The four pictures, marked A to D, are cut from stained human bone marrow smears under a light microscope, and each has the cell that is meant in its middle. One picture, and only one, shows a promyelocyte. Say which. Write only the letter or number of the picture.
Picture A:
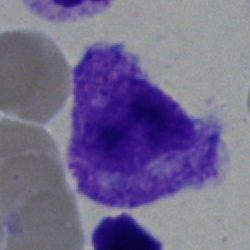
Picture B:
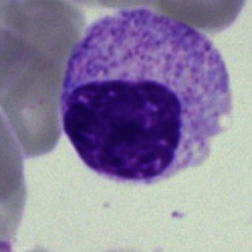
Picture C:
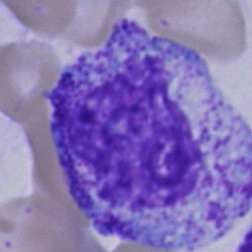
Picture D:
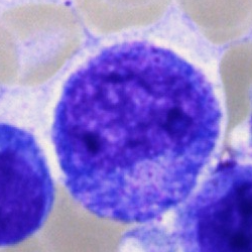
D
